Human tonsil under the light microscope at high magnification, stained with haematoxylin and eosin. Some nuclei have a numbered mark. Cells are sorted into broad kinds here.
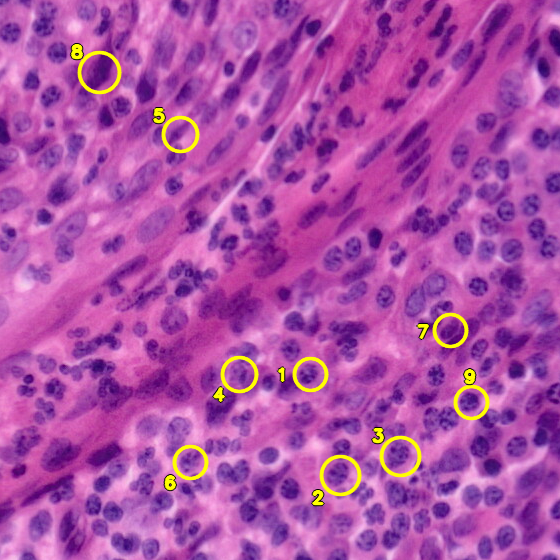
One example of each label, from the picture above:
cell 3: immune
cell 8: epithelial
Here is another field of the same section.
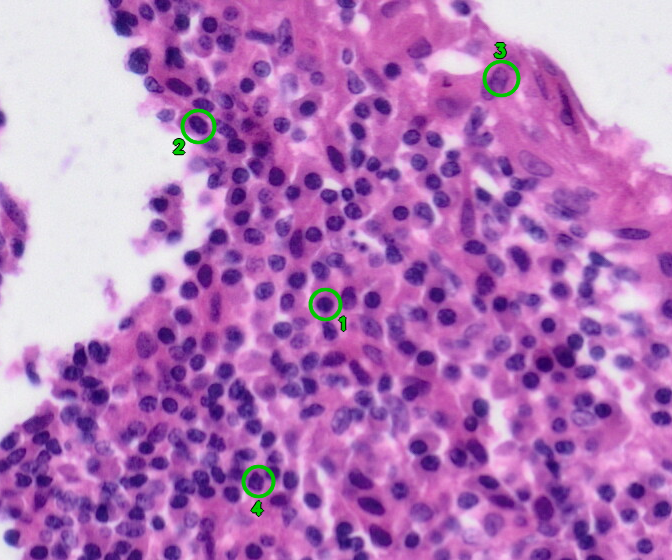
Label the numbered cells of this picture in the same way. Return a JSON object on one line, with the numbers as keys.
{"1": "immune", "2": "immune", "3": "epithelial", "4": "immune"}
